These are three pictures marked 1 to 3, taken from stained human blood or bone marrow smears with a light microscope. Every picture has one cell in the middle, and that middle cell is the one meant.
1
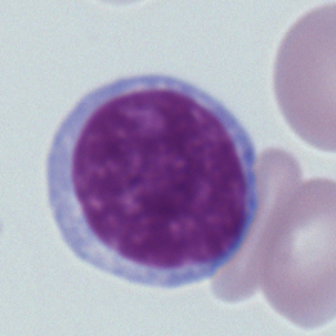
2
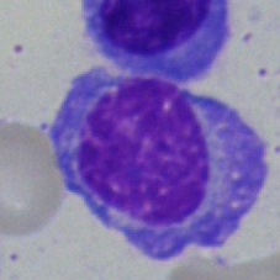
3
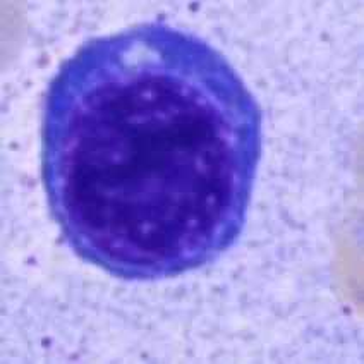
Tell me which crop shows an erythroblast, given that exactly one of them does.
3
